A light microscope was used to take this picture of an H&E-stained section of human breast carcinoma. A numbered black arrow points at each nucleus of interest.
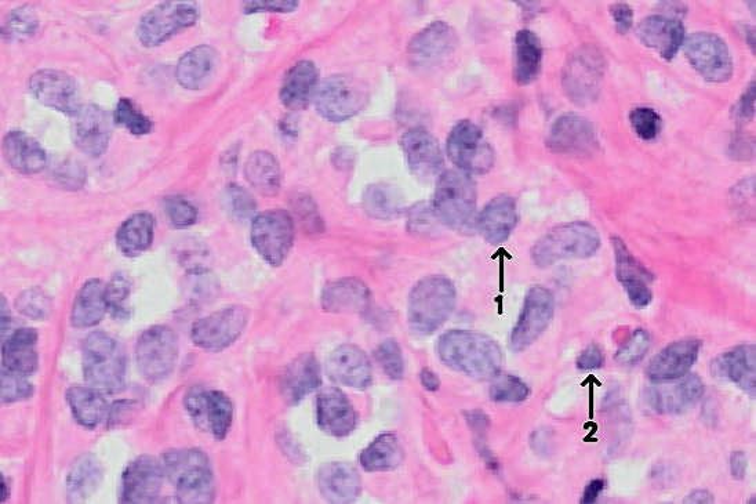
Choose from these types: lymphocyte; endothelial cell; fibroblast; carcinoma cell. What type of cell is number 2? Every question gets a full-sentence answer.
Number 2 is placed on an endothelial cell here.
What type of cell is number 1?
The nucleus marked 1 is the nucleus of a carcinoma cell.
